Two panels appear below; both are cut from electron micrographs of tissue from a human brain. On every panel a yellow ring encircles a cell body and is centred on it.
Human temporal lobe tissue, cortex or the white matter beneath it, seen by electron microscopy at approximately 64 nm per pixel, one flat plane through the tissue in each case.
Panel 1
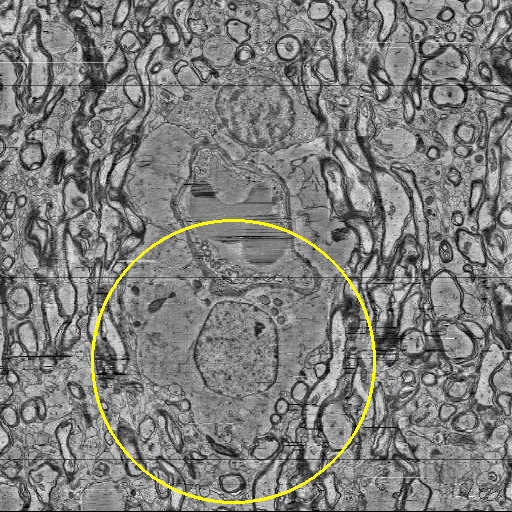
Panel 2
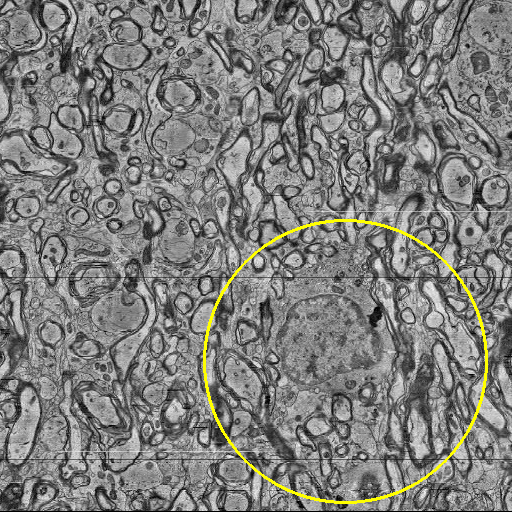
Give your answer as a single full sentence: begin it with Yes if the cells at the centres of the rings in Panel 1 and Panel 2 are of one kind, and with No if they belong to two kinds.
No, the cells in the middle of the rings in Panels 1 and 2 are of two kinds.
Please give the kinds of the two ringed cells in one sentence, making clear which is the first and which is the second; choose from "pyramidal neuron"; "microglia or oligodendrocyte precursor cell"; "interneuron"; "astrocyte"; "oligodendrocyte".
In the second picture the ringed cell is an oligodendrocyte; in the first it is an astrocyte.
